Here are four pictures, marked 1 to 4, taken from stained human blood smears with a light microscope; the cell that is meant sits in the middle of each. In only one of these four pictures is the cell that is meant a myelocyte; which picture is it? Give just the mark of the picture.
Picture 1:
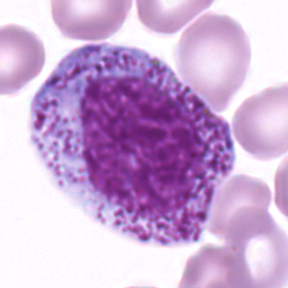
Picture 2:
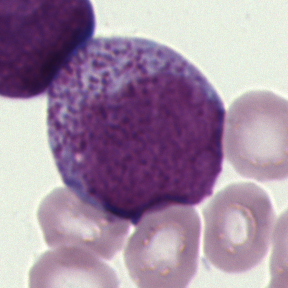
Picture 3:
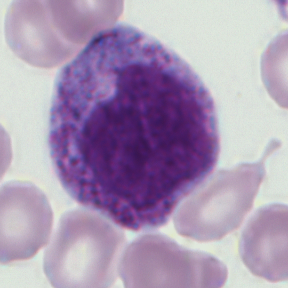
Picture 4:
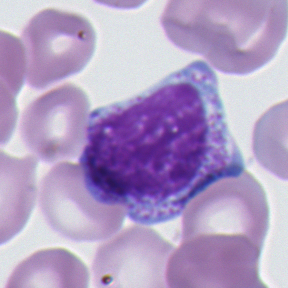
4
